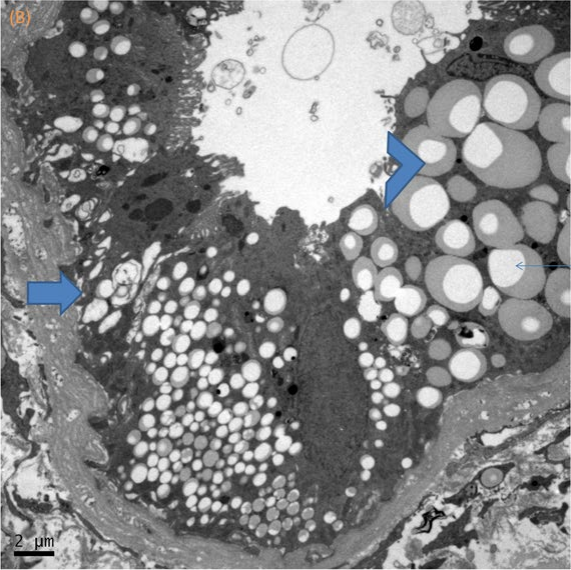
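Proximal tubular epithelial cells surround a lumen, with a brush border of microvilli at the luminal surface and a thick basement membrane beneath. Their cytoplasm is packed with round electron-lucent vacuoles of many sizes, some large ones containing grey crescent-shaped content. A few vacuoles hold membranous, whorled material.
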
